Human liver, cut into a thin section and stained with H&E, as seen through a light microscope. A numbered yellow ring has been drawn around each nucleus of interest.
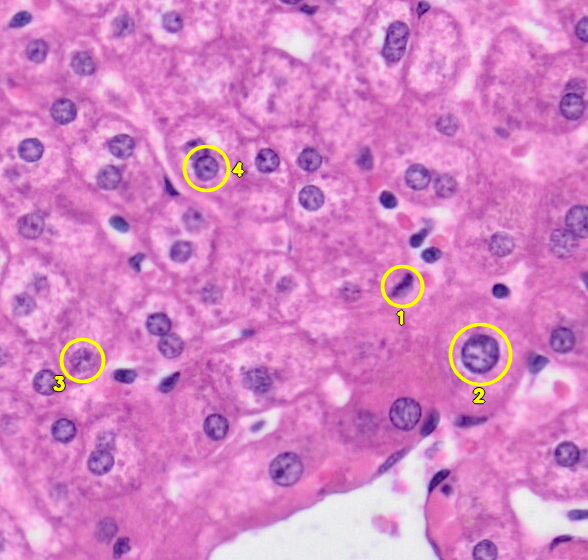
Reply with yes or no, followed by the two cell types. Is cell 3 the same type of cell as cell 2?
Yes, cells 3 and 2 both belong among the hepatocytes.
